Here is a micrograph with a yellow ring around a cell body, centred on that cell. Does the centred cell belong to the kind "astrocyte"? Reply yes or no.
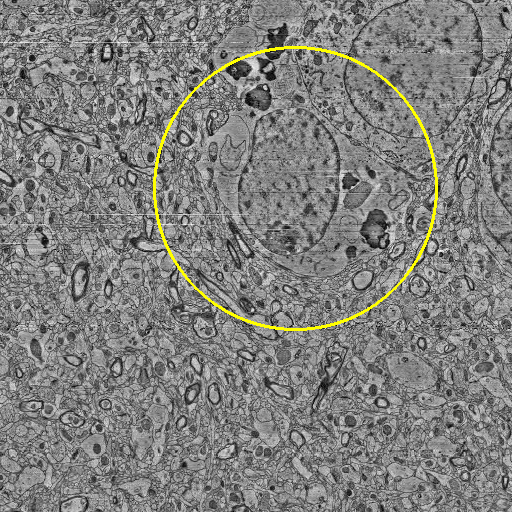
yes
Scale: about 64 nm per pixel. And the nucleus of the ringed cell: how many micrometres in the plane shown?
About 10 by 6 micrometers in this plane, so the nucleus is clearly longer than it is wide.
